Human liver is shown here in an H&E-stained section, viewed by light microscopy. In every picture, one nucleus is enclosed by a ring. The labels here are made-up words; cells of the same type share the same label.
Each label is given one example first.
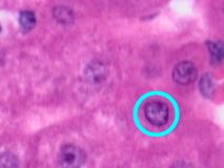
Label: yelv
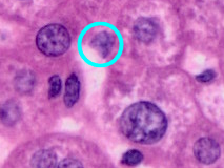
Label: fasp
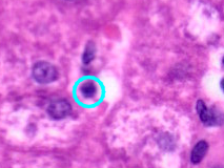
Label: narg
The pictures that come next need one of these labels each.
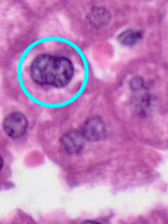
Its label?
yelv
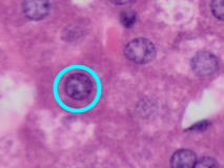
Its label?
yelv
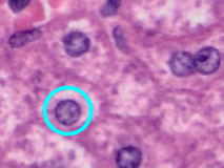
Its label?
yelv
